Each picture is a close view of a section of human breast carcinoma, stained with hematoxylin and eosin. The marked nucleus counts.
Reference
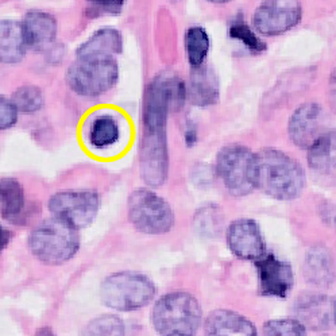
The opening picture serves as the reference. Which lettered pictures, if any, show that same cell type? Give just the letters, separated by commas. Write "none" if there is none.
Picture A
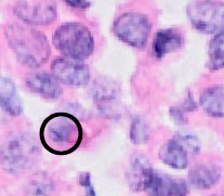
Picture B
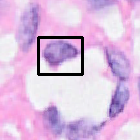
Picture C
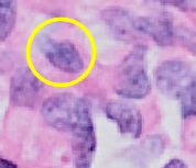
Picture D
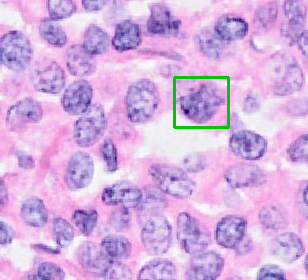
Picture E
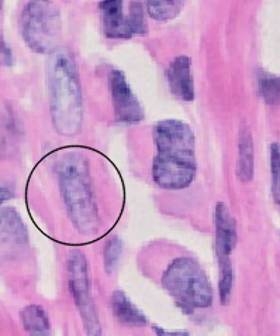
none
